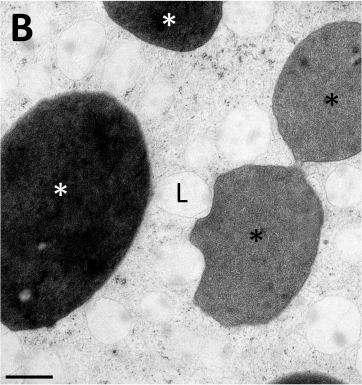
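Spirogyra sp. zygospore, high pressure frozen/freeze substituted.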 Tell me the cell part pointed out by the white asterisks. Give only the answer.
Electron-dense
